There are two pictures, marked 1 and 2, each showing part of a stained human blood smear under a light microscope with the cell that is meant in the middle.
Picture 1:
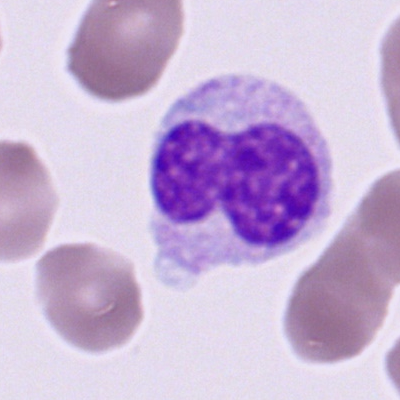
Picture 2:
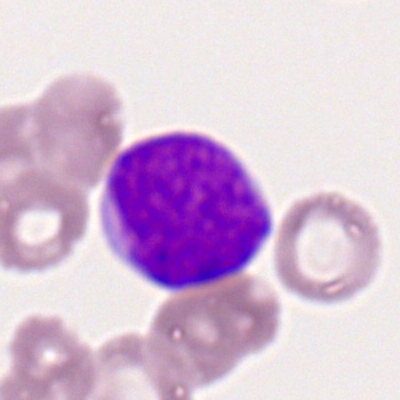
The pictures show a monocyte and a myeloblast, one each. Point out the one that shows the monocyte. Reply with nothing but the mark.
1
